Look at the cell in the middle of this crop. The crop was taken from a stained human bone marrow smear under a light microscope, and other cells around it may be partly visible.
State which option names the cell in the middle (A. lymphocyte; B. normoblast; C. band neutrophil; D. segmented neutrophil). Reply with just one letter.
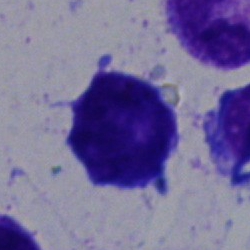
A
